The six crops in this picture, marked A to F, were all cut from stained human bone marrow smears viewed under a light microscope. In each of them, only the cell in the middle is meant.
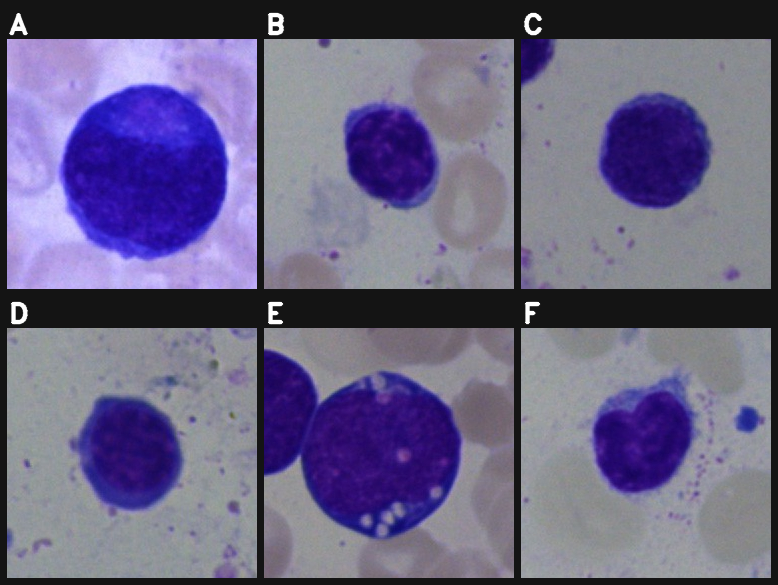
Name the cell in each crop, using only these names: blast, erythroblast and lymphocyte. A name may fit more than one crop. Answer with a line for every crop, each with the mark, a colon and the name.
A: blast
B: lymphocyte
C: lymphocyte
D: erythroblast
E: blast
F: lymphocyte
